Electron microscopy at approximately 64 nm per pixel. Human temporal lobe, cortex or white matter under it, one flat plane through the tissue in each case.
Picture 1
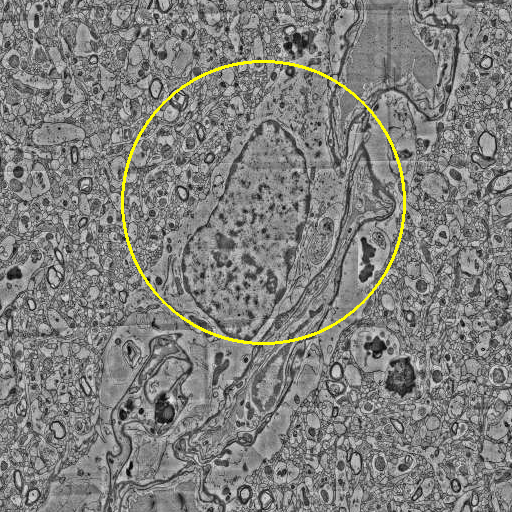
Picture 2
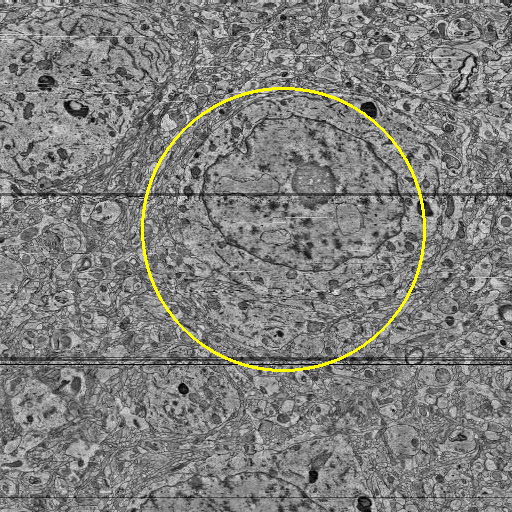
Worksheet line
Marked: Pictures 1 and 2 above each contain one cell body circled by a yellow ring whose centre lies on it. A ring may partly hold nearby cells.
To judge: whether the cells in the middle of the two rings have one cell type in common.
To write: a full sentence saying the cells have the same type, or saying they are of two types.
The cells in the middle of the rings in Picture 1 and Picture 2 are of two types.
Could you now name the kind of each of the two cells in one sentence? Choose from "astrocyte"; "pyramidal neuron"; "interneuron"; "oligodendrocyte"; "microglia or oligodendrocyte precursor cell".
The first ring encloses a microglial cell or oligodendrocyte precursor cell; the second ring encloses a pyramidal neuron.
